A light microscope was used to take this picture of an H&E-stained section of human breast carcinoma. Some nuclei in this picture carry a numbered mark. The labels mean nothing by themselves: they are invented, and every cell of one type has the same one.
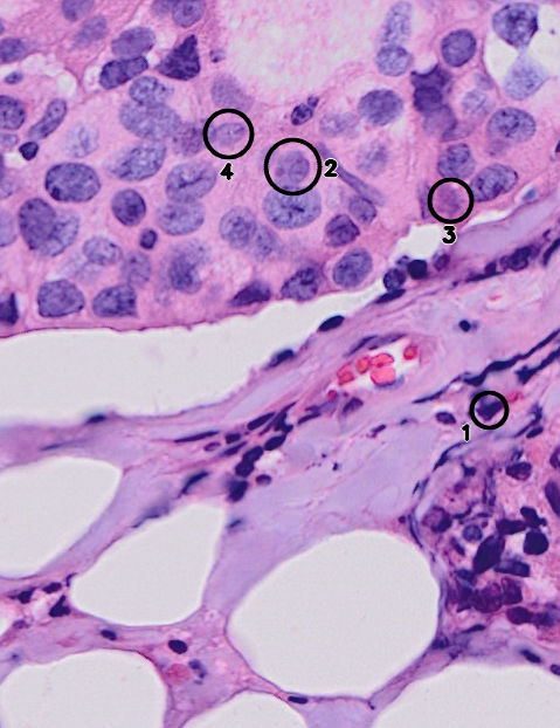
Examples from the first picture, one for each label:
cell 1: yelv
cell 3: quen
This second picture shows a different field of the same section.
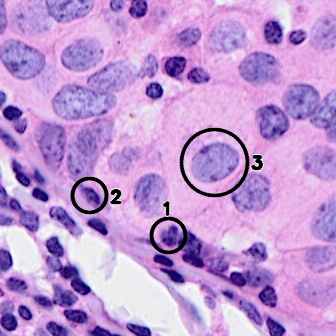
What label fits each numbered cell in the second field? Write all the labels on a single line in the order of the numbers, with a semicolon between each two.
yelv; yelv; quen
